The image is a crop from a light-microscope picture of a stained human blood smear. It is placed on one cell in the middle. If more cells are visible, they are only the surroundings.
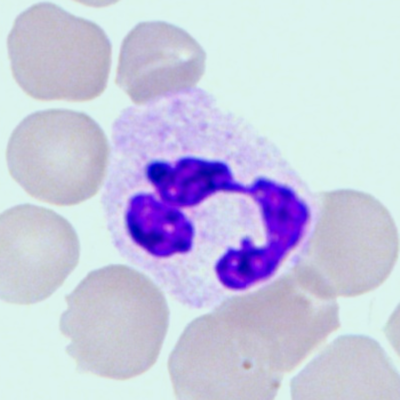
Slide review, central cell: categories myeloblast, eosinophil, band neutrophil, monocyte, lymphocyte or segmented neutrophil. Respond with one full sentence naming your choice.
Whatever else lies nearby, the middle cell is a segmented neutrophil.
